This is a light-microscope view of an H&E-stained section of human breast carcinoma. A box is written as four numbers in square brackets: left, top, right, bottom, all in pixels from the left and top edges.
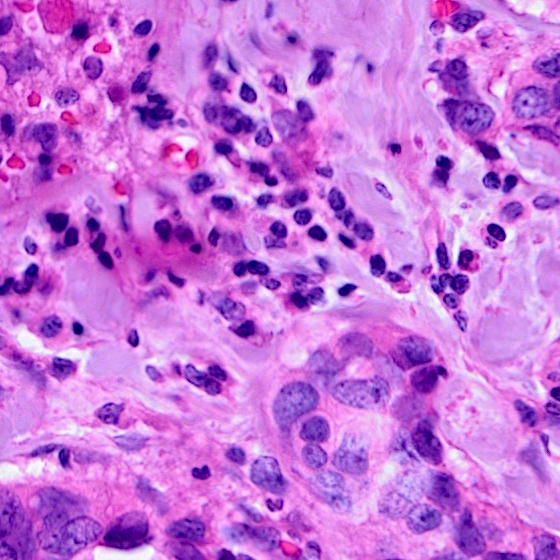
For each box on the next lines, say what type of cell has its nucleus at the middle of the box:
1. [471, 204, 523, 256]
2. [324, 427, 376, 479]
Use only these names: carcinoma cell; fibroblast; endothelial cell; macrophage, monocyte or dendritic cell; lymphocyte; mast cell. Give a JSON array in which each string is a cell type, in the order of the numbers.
["lymphocyte", "carcinoma cell"]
